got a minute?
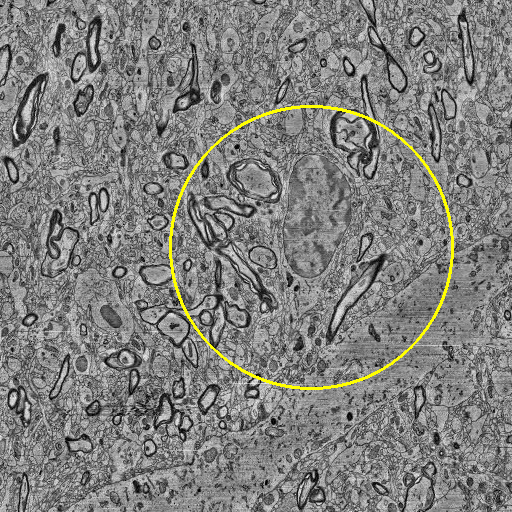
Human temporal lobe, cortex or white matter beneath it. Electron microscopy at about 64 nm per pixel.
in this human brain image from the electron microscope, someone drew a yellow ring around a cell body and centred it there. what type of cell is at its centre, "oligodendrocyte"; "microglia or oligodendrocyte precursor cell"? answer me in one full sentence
It's a microglial cell or oligodendrocyte precursor cell at the middle of that yellow ring in the shot.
